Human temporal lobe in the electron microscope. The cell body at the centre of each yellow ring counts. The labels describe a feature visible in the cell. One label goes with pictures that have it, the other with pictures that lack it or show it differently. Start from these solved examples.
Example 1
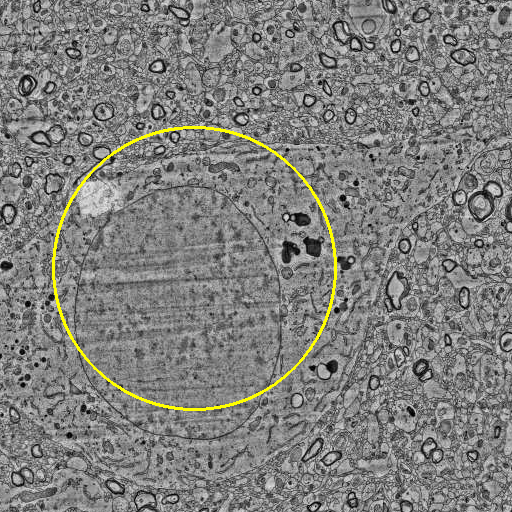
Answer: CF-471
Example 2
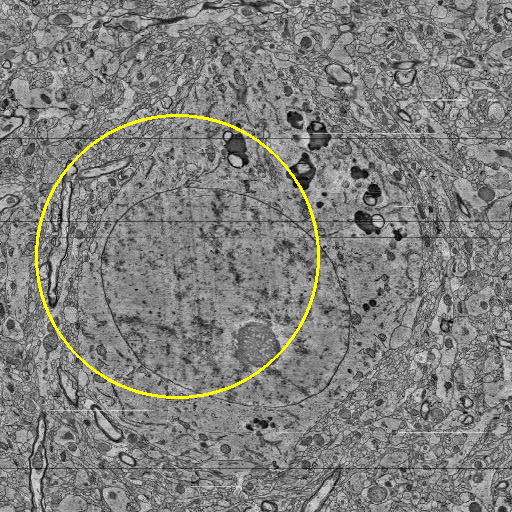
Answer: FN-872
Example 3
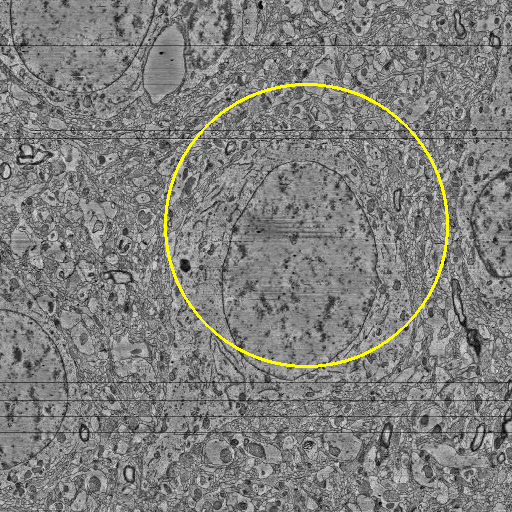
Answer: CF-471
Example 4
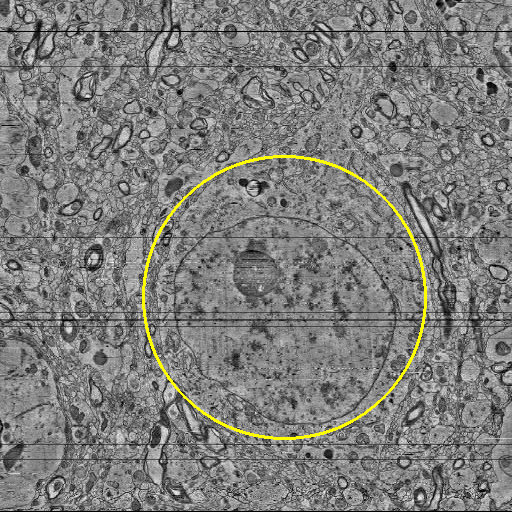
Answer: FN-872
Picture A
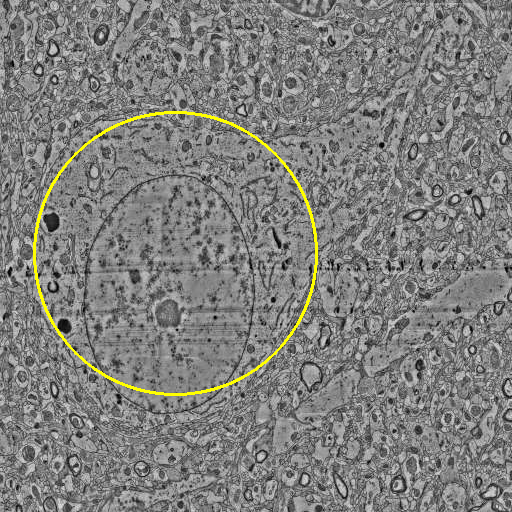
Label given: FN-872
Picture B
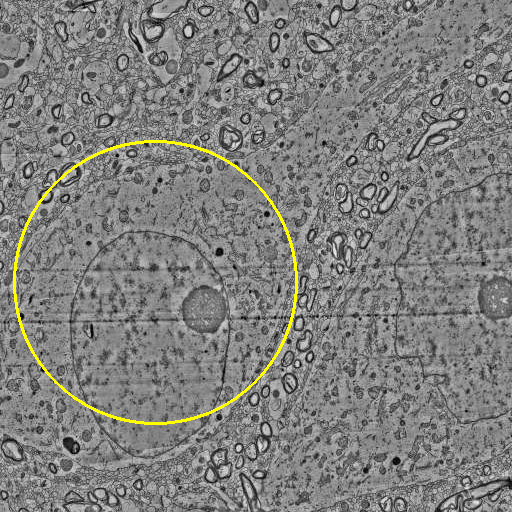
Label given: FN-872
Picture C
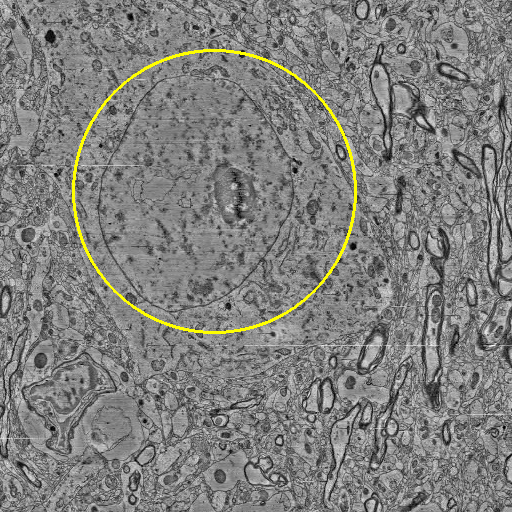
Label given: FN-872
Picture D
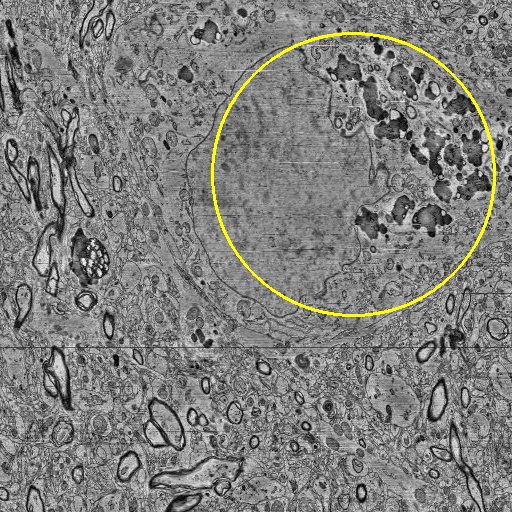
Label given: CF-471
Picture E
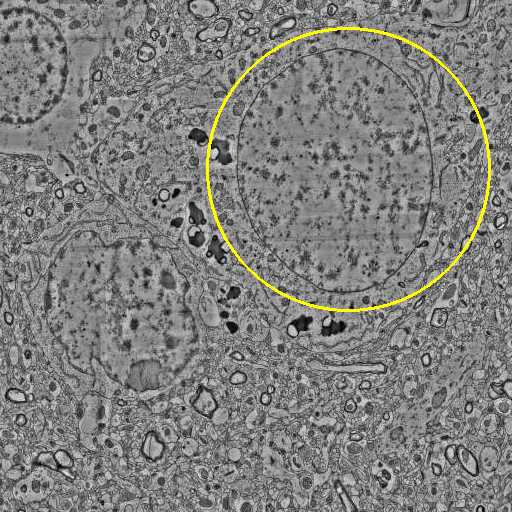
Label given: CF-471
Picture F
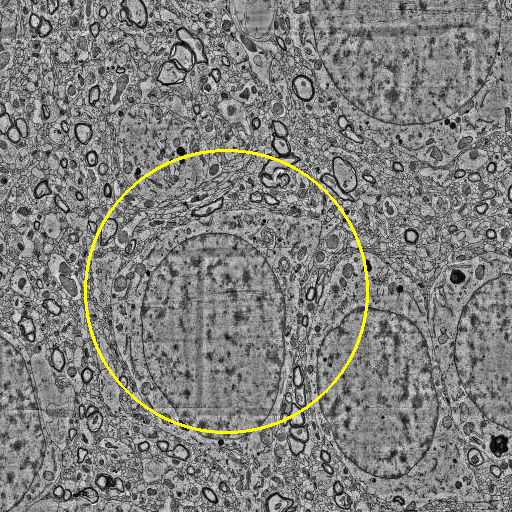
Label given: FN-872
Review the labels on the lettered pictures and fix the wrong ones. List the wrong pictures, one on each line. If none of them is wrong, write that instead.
F is labelled FN-872; correct label: CF-471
